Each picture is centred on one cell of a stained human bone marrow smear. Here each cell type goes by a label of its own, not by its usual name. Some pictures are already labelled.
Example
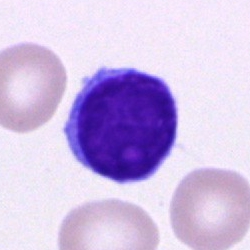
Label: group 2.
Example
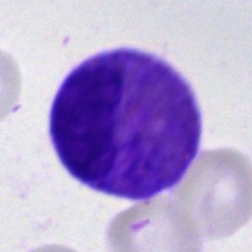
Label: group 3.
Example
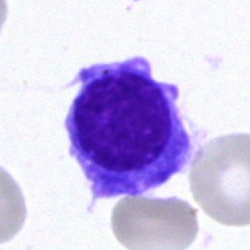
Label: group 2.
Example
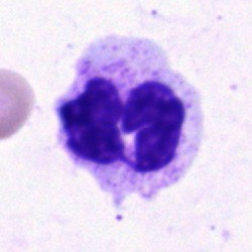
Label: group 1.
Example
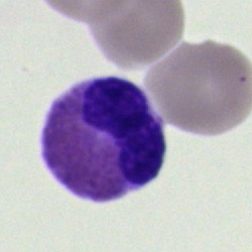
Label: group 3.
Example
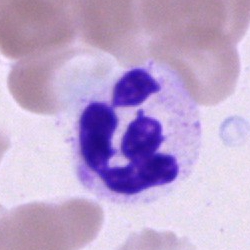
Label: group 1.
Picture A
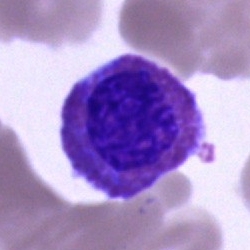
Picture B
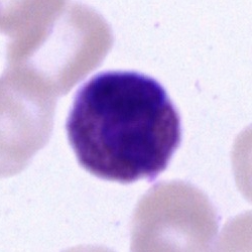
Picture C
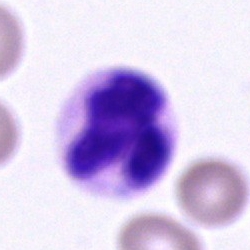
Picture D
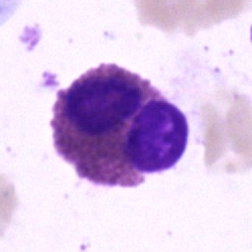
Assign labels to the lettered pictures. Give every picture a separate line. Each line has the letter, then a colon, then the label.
A: group 3.
B: group 3.
C: group 1.
D: group 3.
